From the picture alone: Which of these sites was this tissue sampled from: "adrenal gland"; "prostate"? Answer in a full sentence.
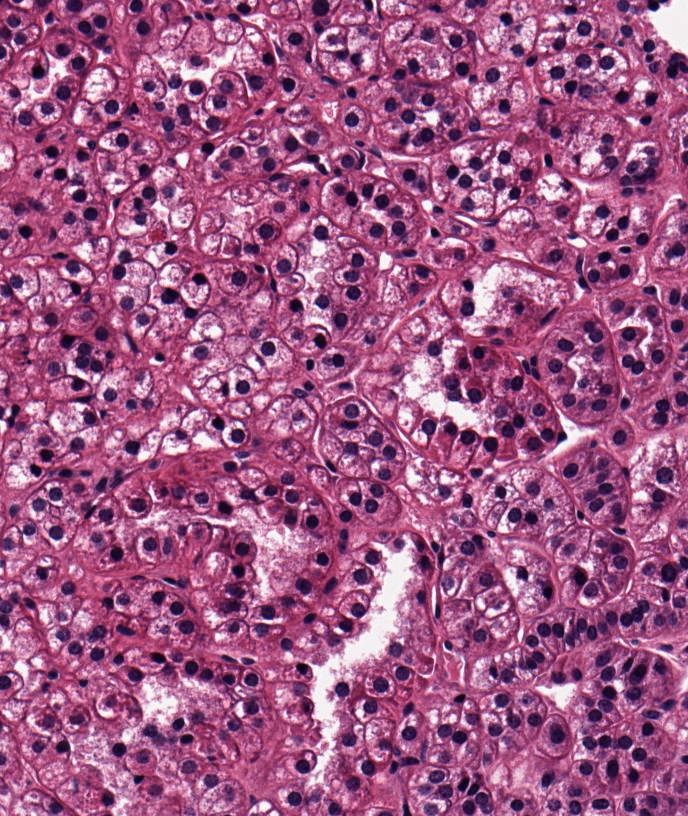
The site this tissue was sampled from is the adrenal gland.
